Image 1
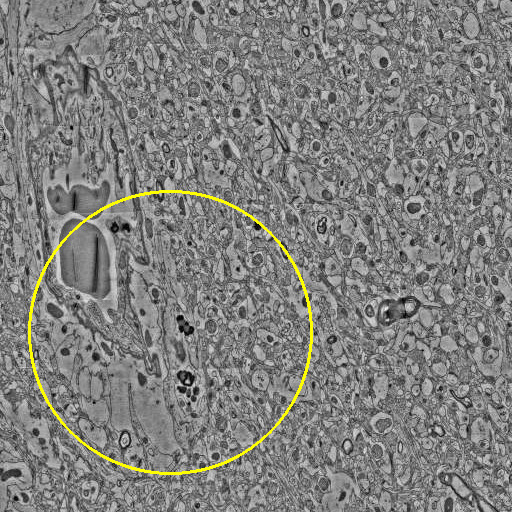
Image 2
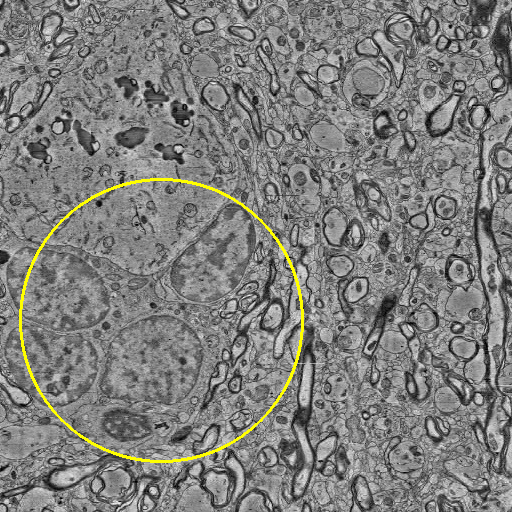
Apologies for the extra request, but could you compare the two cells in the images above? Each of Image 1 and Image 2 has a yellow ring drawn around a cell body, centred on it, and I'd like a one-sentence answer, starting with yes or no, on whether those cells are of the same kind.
No, the two cells are of two kinds.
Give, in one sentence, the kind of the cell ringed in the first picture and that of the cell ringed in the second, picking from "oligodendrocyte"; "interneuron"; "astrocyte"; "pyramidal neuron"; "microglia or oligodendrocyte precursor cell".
For the first picture it is a microglial cell or oligodendrocyte precursor cell; for the second, an oligodendrocyte.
